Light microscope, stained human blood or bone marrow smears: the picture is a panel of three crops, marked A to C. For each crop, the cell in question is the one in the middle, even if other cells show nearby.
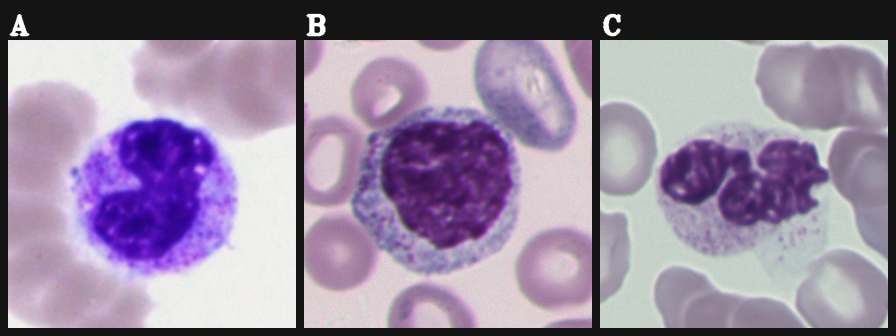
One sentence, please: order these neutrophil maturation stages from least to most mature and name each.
Ordering the crops by maturity, least first, gives crop B (a myelocyte), crop A (a band neutrophil) and crop C (a segmented neutrophil).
